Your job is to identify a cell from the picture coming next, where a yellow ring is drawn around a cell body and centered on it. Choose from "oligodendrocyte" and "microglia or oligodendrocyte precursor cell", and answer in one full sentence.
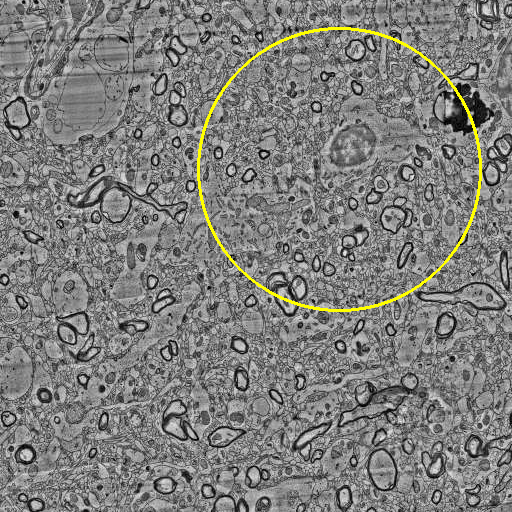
Centered in the yellow ring of the picture is the body of a microglial cell or oligodendrocyte precursor cell.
